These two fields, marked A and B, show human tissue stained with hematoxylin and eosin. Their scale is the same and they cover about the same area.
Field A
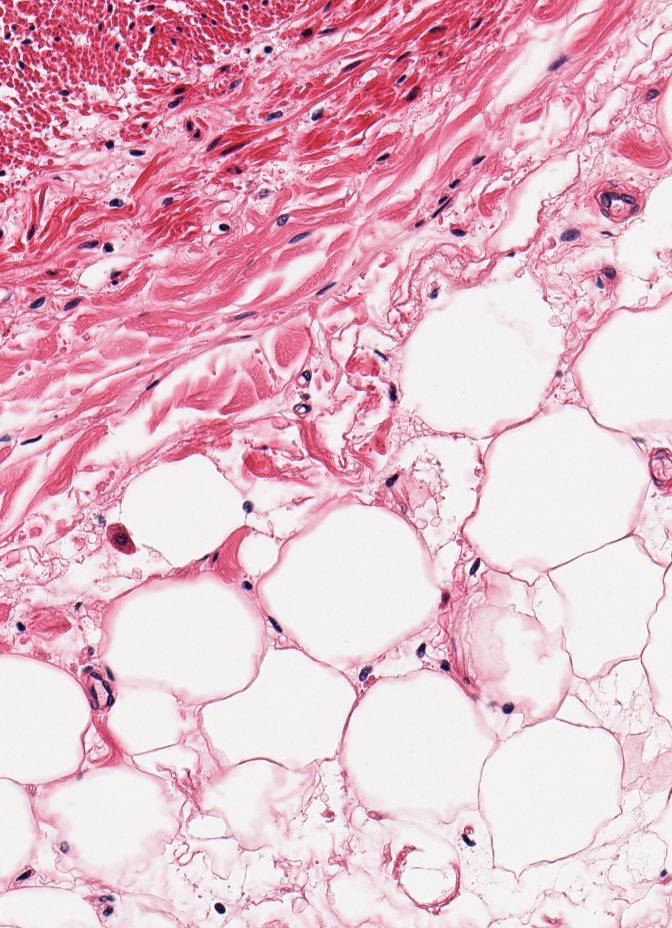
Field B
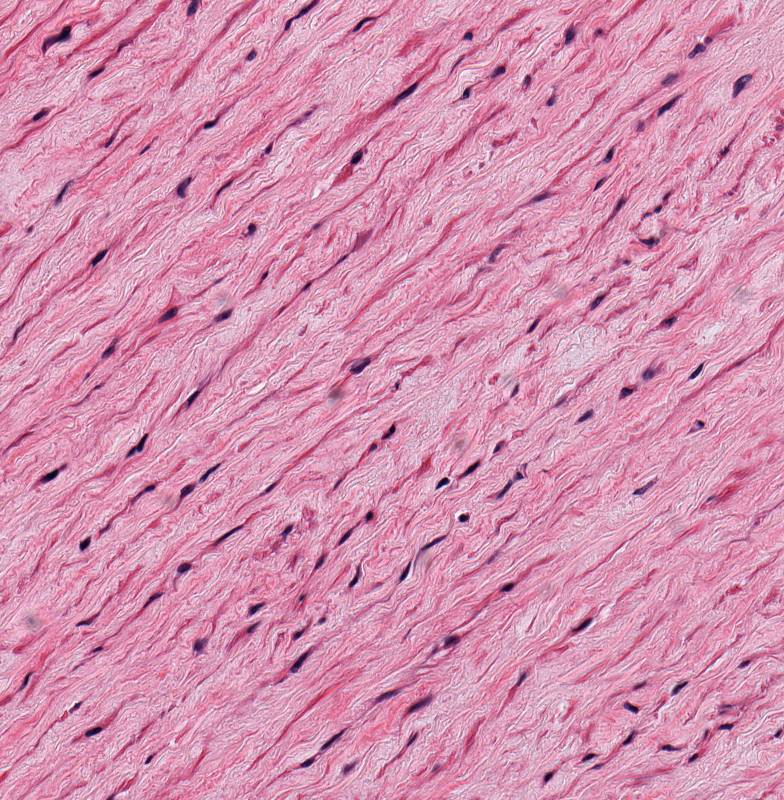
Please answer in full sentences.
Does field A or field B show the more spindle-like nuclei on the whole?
On the whole the nuclei of field B are more drawn out than those of field A.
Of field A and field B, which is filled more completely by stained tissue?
It is field B that stained tissue fills more completely.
